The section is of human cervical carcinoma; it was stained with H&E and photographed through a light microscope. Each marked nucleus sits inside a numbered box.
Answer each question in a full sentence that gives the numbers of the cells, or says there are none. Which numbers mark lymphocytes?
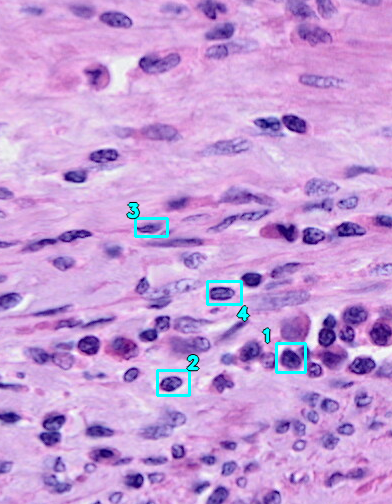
In short, the numbered cells 1, 2 and 4 are lymphocytes.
